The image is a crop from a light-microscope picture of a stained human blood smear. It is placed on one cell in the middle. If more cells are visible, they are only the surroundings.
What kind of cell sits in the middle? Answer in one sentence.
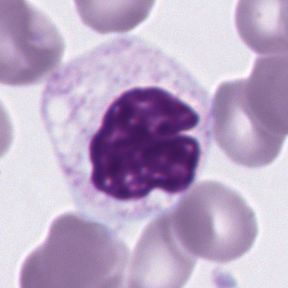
The cell of interest, in the center, is a band neutrophil.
